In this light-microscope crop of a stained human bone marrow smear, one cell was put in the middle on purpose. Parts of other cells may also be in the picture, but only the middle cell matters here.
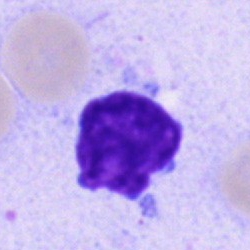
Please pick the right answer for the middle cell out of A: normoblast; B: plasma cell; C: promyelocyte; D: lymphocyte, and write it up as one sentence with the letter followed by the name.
Option D is the correct one; it names the central cell as a lymphocyte.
